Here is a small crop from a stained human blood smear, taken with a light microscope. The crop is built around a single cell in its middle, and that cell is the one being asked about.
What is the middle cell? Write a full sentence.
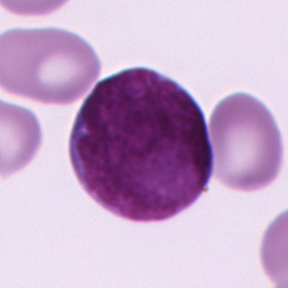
The cell shown in the center of this light-microscope crop is a myeloblast.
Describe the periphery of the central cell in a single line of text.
Its periphery is smooth, and no projections arise from it.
